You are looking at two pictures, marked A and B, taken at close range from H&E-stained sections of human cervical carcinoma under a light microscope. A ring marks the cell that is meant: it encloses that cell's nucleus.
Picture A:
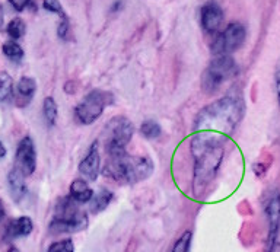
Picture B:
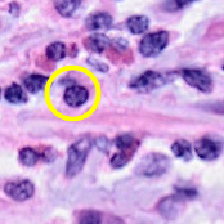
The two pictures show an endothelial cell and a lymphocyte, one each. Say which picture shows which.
A: endothelial cell
B: lymphocyte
